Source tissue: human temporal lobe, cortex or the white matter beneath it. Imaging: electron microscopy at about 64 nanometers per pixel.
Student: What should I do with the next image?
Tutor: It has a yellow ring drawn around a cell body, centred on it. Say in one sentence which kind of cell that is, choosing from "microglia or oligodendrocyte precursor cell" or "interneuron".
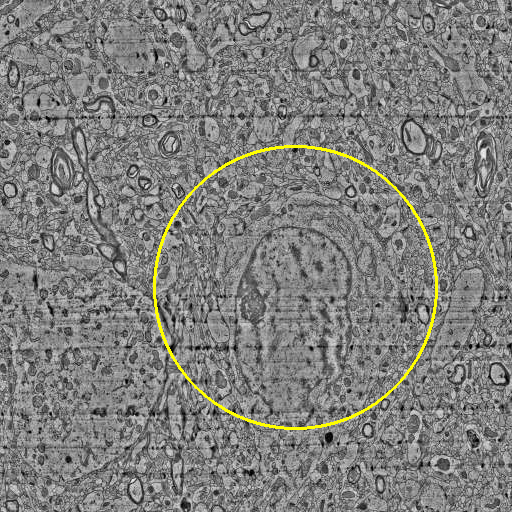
The ring's centre is occupied by an interneuron.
